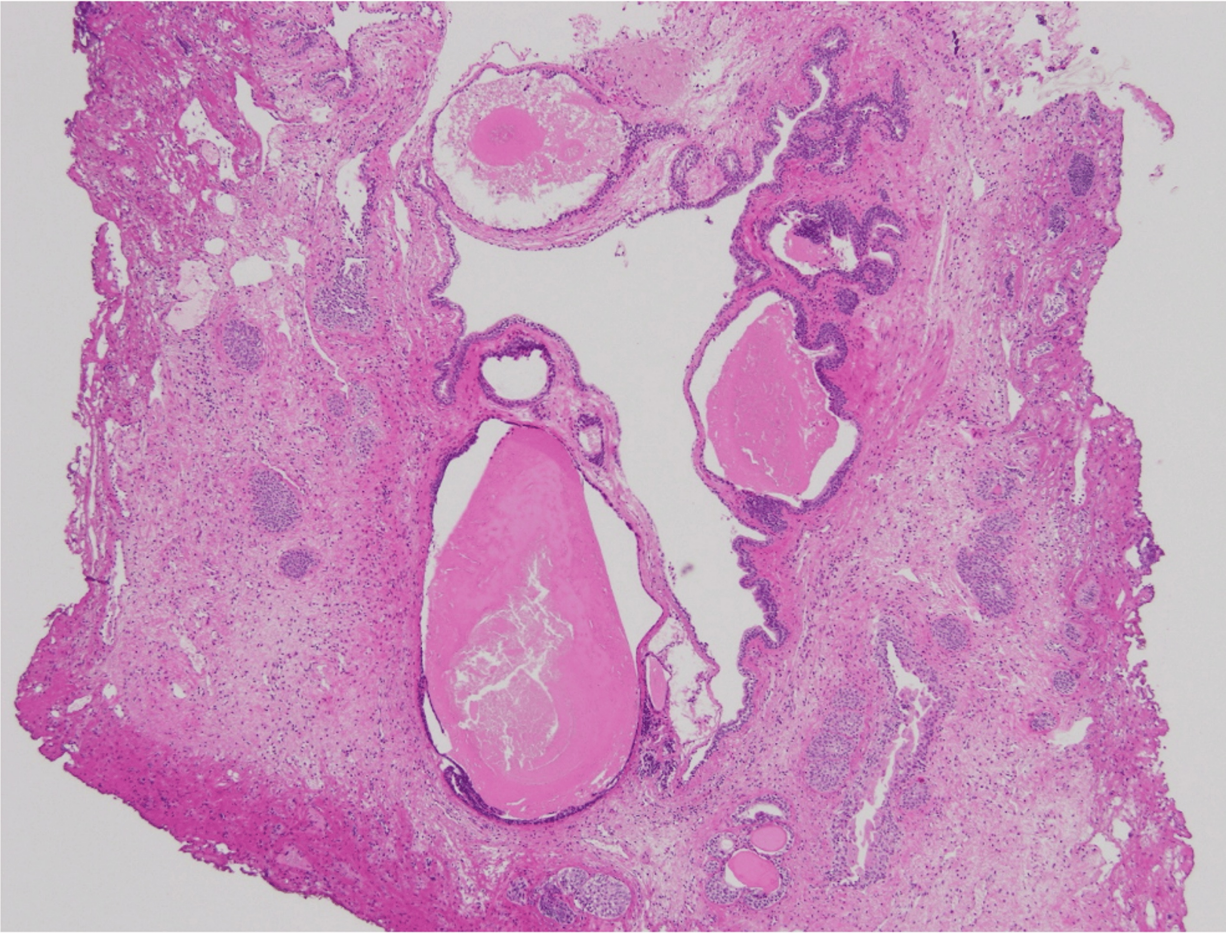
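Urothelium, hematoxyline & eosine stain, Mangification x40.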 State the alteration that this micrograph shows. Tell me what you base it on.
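Several rounded cystic spaces lie in the stroma beneath the surface lining. The cysts are lined by a thin layer of epithelial cells. The cysts are filled with homogeneous pink material.
Cystitis cystica.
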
